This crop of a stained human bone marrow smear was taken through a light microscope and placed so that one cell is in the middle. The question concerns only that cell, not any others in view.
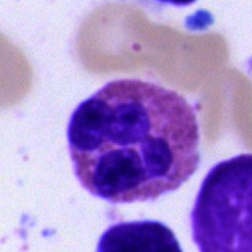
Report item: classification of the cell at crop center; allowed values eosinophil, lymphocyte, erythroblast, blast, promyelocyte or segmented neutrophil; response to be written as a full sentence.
This particular crop is centered on an eosinophil.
